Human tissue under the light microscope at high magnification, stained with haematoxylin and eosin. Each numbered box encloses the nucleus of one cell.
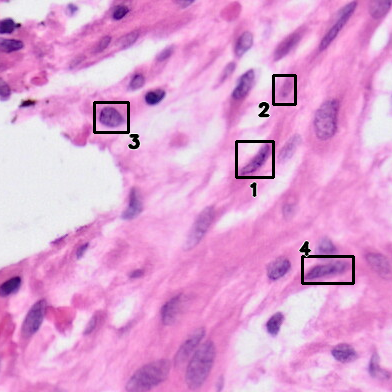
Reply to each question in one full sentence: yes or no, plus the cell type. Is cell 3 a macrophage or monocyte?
Yes, the cell carrying number 3 is a macrophage or monocyte.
